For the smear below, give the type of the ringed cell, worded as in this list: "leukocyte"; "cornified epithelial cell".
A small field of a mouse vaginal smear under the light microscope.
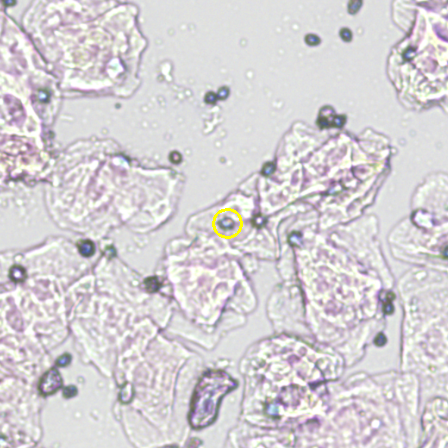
leukocyte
